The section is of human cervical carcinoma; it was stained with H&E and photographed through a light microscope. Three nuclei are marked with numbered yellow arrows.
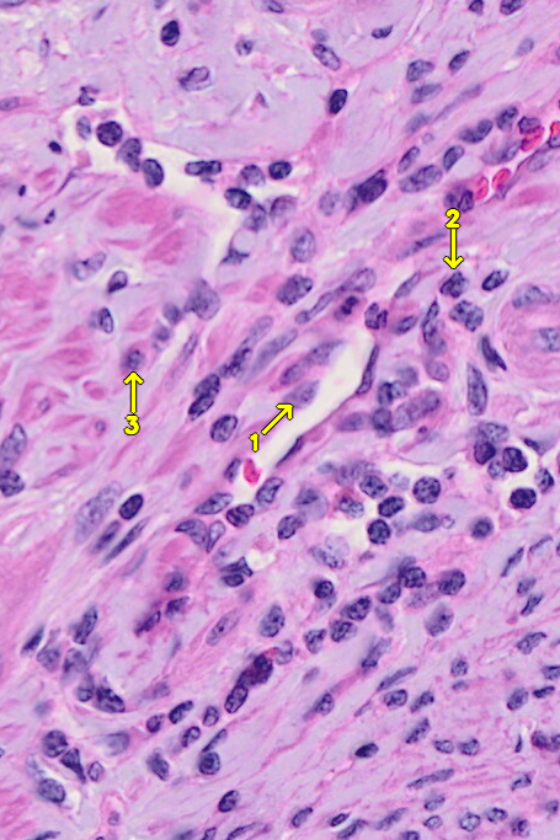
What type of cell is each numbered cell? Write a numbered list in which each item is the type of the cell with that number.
1. endothelial cell
2. lymphocyte
3. smooth muscle cell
